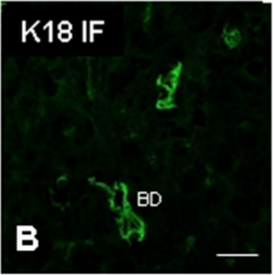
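This is liver tissue in which most of the field shows only a faint green background outlining the liver cells. Against this dim background, two compact structures stand out brightly green. They are small tubular, folded profiles lined by strongly stained cells, quite unlike the faint surrounding liver cells.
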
